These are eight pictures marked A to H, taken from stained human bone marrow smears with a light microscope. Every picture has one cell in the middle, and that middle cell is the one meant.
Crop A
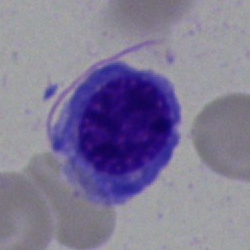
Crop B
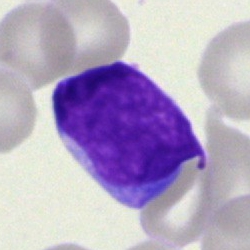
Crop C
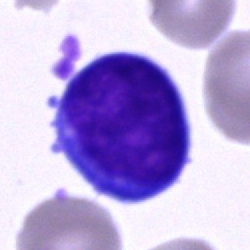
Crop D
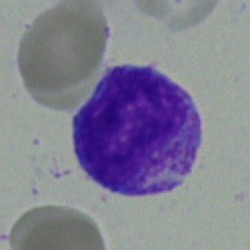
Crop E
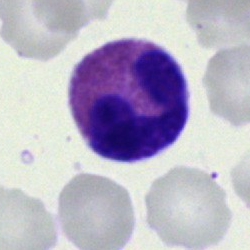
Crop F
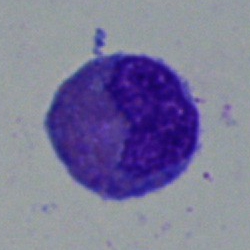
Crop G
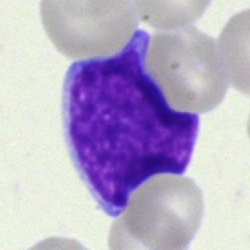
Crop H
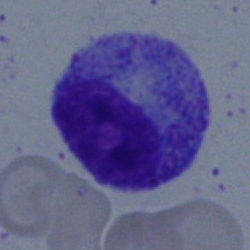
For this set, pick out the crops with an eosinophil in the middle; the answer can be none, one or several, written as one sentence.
What crops E and F show in the middle are eosinophils.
